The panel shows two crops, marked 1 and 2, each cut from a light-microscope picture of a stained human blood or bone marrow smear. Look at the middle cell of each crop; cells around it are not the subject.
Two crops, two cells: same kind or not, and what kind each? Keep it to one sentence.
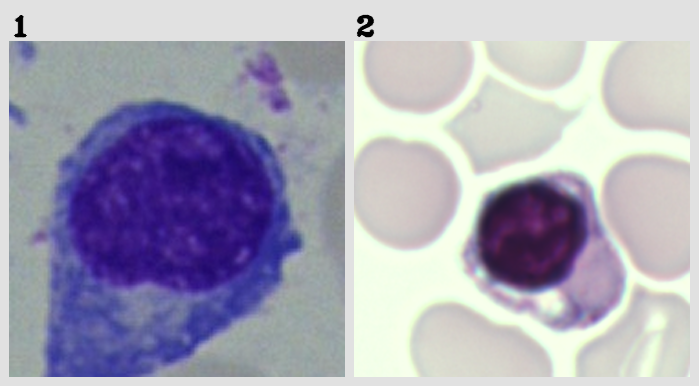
No, crop 1 shows a plasma cell, and crop 2, by contrast, shows an erythroblast.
